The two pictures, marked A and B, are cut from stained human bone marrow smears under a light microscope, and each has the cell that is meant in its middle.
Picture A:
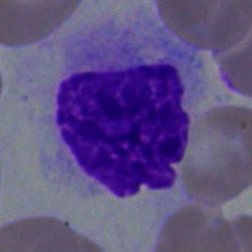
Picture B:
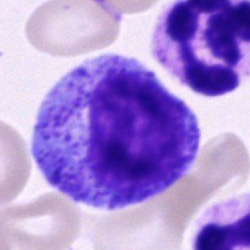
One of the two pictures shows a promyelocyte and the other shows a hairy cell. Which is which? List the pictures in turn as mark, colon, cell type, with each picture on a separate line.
A: hairy cell
B: promyelocyte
